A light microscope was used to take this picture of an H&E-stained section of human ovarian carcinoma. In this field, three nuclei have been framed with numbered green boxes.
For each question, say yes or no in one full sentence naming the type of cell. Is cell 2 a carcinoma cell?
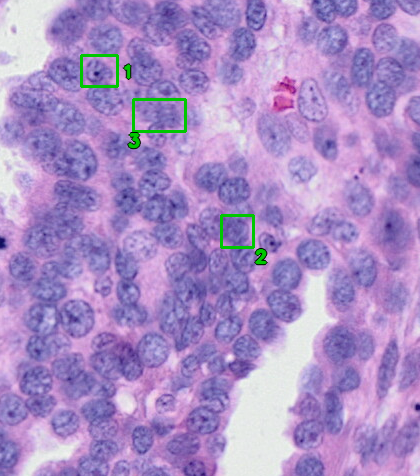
Yes, for number 2, the cell is a carcinoma cell.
